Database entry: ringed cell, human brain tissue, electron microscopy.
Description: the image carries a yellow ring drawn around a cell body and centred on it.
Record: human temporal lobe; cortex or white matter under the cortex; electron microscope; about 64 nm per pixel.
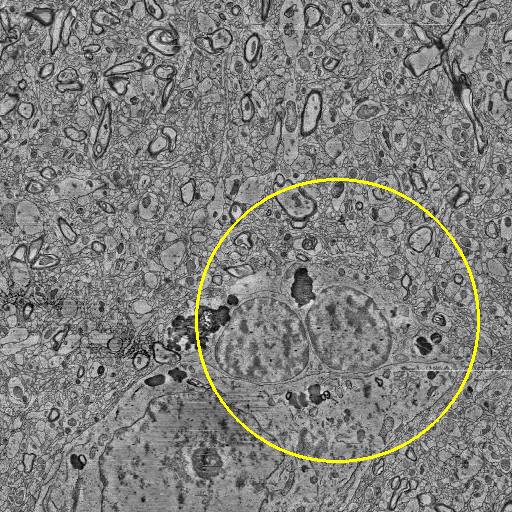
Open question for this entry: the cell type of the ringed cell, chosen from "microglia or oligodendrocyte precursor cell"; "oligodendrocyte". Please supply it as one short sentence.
The ringed cell is an oligodendrocyte.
